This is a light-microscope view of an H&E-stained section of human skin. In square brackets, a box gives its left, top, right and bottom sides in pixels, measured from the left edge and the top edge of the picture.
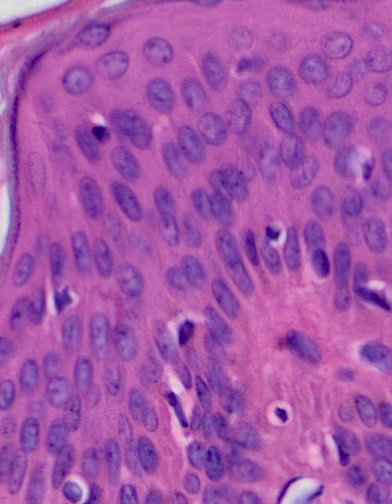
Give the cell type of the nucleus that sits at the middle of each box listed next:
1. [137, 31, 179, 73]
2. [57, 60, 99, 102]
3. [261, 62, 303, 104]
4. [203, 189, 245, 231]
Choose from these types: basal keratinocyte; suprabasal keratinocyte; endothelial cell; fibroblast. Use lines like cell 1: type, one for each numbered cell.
cell 1: suprabasal keratinocyte
cell 2: suprabasal keratinocyte
cell 3: suprabasal keratinocyte
cell 4: basal keratinocyte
